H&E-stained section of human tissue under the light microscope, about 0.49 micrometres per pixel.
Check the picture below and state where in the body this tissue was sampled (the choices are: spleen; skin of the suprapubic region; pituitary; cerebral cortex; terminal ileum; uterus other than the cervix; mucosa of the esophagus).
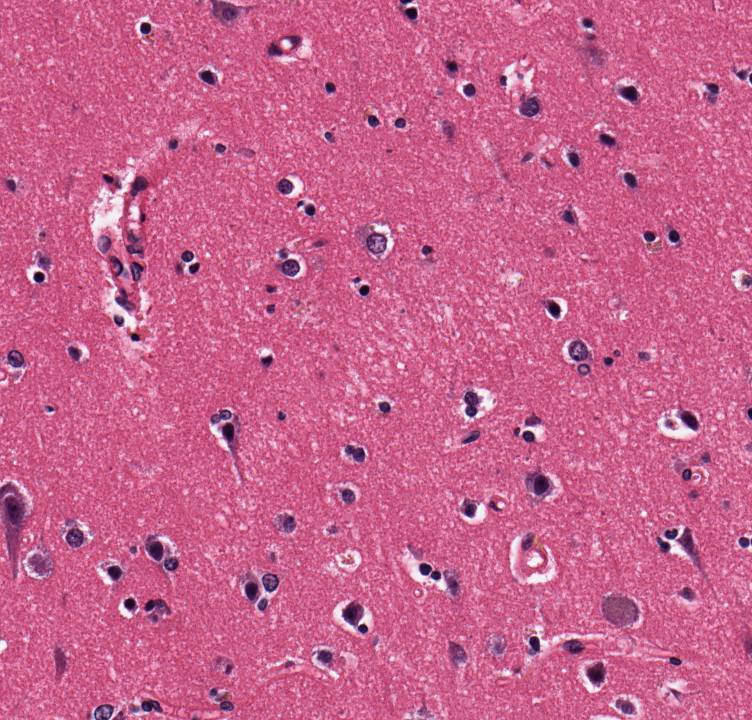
cerebral cortex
